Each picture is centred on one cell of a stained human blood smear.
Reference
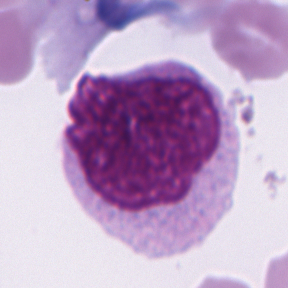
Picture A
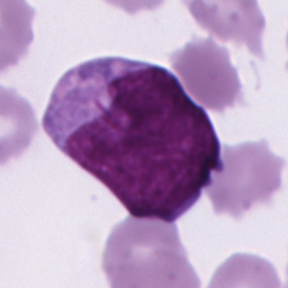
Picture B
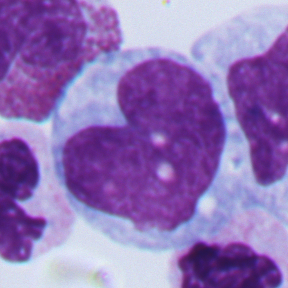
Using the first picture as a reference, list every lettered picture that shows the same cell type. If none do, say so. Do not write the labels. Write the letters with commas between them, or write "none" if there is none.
B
